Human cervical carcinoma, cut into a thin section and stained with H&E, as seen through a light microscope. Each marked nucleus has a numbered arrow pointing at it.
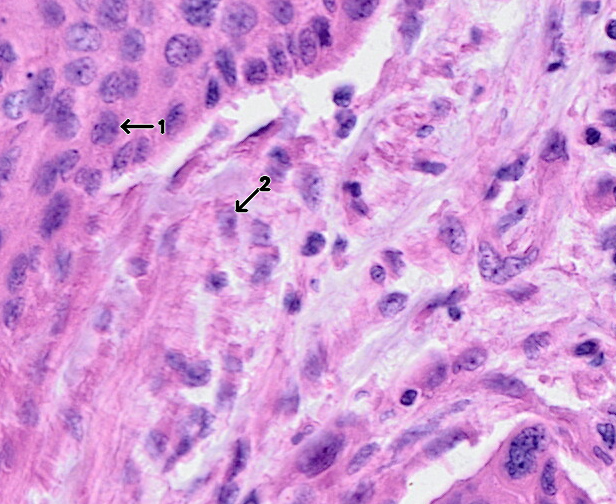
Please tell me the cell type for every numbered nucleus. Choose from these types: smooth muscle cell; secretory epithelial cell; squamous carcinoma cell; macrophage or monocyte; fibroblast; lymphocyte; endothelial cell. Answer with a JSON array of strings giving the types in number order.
["squamous carcinoma cell", "fibroblast"]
